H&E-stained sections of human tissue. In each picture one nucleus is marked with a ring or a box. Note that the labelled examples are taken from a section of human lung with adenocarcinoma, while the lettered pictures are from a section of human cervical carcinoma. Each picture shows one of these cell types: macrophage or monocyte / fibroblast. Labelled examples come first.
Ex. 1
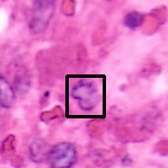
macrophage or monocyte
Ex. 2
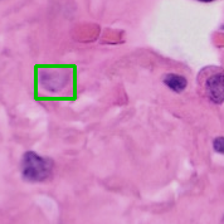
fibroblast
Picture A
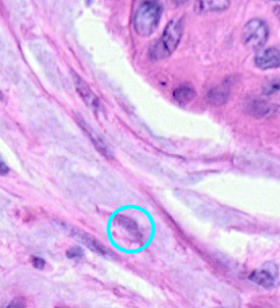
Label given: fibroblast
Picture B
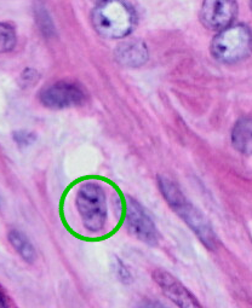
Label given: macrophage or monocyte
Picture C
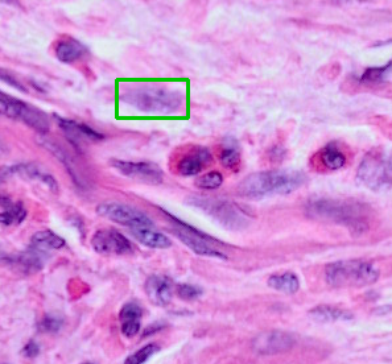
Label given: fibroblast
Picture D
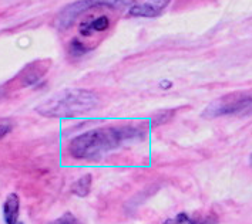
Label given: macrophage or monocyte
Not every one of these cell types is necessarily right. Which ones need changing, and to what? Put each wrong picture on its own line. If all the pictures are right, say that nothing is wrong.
D is labelled macrophage or monocyte; correct label: fibroblast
